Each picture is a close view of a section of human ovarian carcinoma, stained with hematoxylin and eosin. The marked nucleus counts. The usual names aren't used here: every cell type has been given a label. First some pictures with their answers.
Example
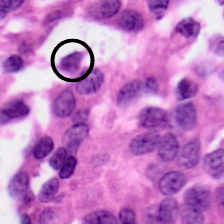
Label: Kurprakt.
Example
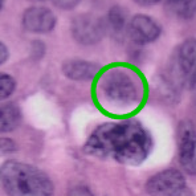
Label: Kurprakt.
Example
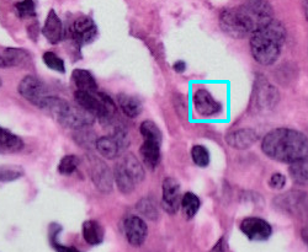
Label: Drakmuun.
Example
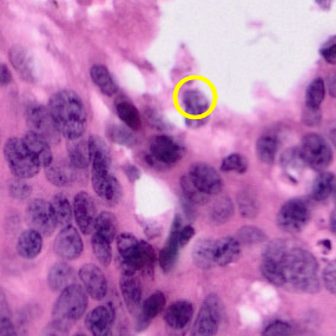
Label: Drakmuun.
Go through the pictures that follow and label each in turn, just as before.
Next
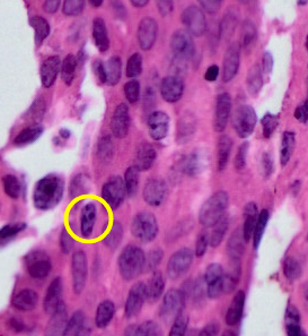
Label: Drakmuun.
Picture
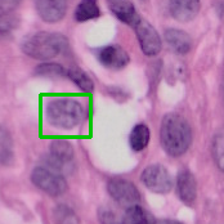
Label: Drakmuun.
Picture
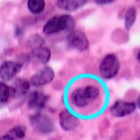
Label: Drakmuun.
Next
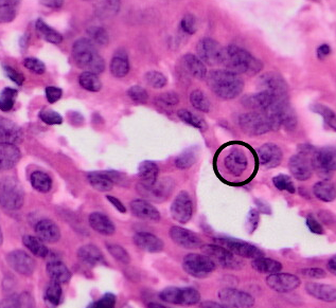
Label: Drakmuun.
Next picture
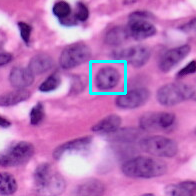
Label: Drakmuun.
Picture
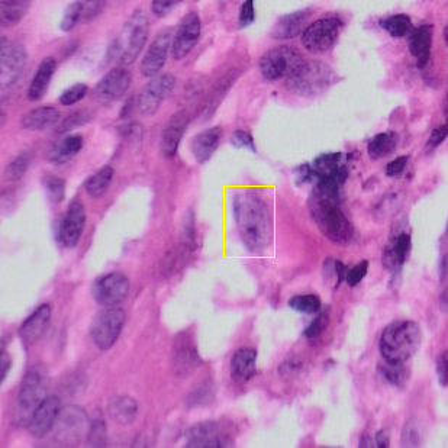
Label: Drakmuun.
